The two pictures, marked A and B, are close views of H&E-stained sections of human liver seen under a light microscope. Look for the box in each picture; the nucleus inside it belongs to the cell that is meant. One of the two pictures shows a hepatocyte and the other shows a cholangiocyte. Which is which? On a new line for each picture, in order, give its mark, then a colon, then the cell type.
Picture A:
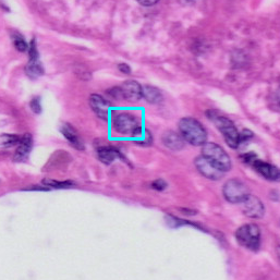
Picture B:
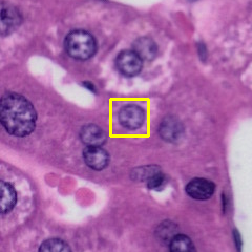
A: cholangiocyte
B: hepatocyte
